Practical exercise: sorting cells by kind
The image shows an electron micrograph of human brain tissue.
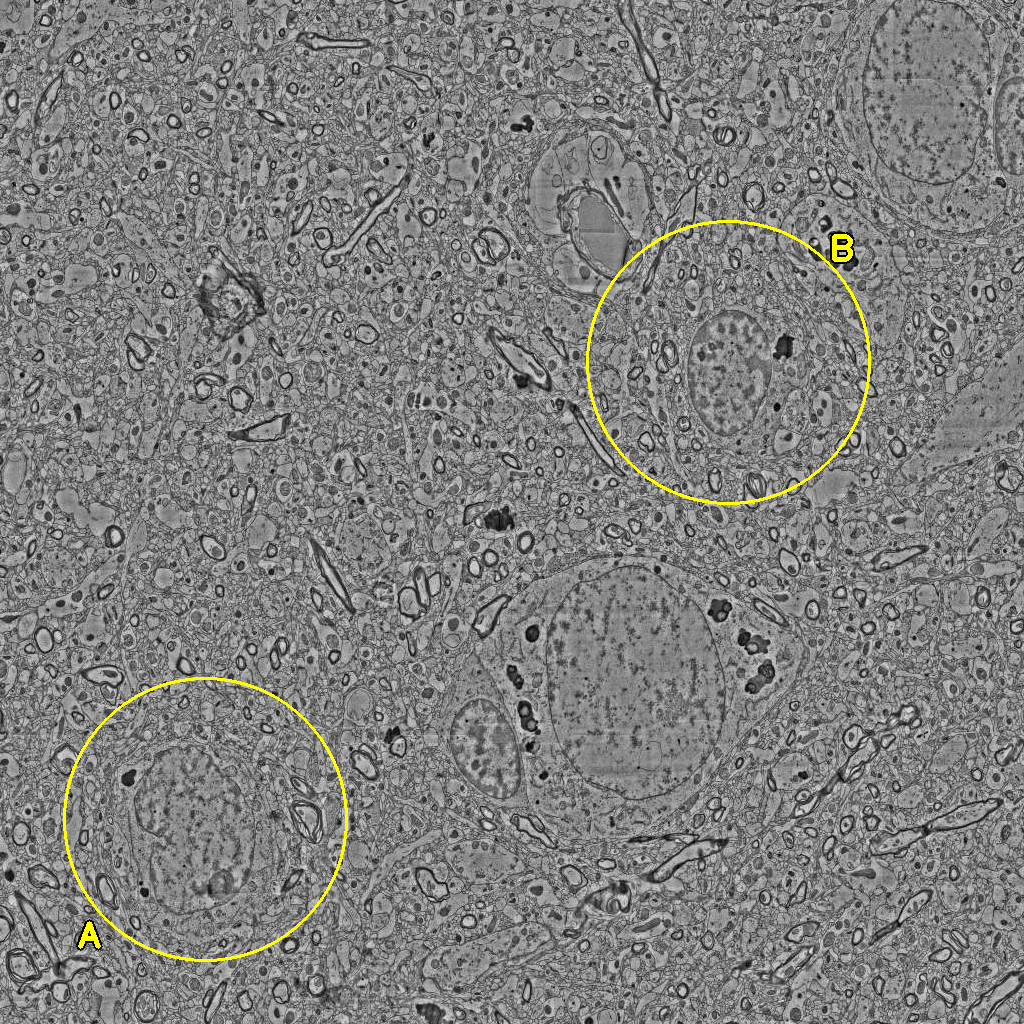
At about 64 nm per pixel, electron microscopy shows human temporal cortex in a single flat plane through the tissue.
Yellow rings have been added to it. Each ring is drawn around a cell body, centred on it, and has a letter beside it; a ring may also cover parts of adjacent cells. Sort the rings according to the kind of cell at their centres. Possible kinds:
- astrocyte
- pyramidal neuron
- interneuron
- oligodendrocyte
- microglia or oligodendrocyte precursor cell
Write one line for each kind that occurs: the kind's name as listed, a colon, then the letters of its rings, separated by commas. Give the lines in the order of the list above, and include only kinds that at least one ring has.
interneuron: A
oligodendrocyte: B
